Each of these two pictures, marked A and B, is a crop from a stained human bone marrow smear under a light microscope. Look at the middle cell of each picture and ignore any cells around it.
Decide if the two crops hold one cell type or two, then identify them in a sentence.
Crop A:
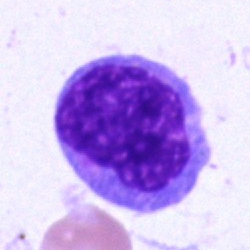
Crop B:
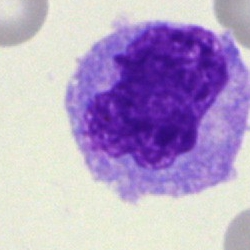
Yes, the cells in the centres of the two crops are monocytes.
